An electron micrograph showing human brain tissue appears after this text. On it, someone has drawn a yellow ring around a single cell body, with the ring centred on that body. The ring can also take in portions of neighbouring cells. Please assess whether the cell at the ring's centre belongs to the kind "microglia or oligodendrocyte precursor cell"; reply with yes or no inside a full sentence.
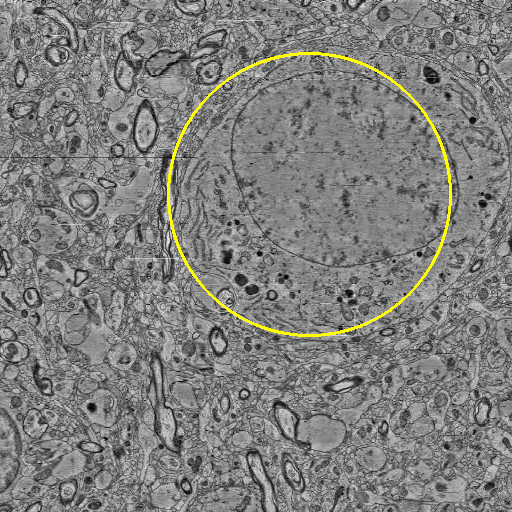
No, in this micrograph the cell at the centre of the ring is of another kind.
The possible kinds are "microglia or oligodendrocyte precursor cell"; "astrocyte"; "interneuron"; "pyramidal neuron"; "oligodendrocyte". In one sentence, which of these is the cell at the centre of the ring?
The correct answer is that the cell is a pyramidal neuron.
